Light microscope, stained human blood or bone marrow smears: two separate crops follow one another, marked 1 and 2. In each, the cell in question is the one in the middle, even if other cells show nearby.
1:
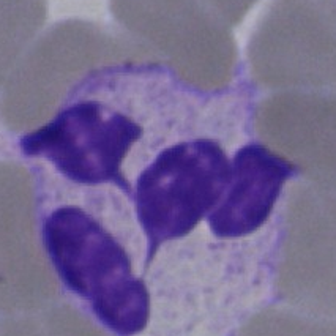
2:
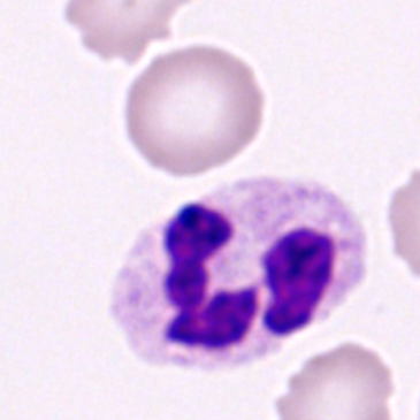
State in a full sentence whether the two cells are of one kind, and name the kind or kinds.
Yes, the central cells of both crops are segmented neutrophils.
